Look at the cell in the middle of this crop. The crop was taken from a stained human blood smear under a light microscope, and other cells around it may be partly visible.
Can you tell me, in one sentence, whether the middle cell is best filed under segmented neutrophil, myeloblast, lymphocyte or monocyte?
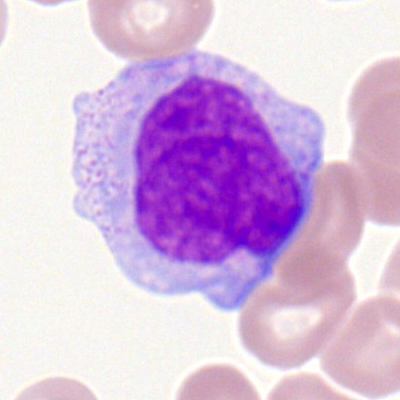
At the center of the crop sits a monocyte.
